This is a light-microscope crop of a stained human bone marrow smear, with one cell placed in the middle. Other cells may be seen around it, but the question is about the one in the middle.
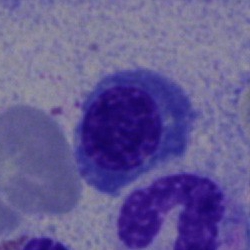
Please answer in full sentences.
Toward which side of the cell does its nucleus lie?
The nucleus is pushed toward the left of the cell.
